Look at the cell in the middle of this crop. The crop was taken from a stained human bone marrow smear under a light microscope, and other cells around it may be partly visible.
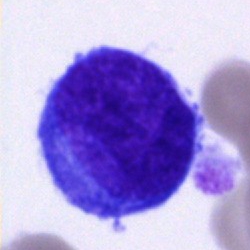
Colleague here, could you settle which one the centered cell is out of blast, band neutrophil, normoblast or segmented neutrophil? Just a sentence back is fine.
In the middle of this smear crop is a blast.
